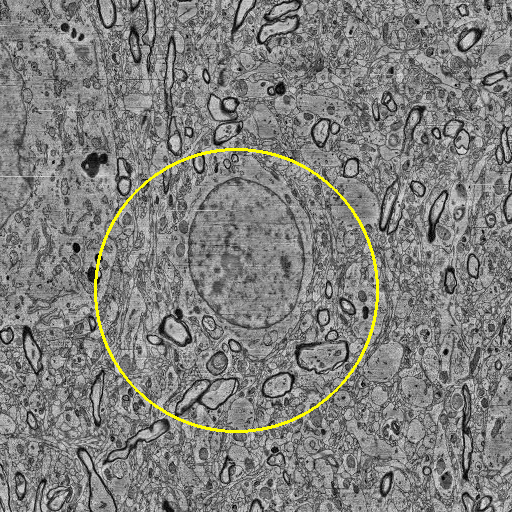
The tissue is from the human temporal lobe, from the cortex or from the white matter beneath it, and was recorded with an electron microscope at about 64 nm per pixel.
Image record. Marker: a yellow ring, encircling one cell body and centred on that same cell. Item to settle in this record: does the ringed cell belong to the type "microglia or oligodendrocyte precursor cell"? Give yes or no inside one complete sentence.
No, in the picture, the cell centred within the yellow ring is of a different type.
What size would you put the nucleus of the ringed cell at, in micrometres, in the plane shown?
Roughly 10 by 7 micrometres in this plane, for the nucleus of the ringed cell.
